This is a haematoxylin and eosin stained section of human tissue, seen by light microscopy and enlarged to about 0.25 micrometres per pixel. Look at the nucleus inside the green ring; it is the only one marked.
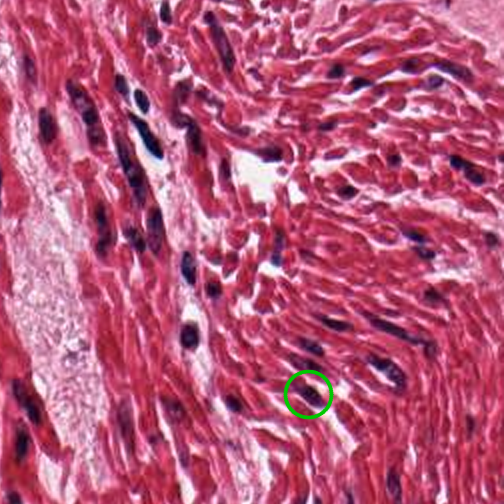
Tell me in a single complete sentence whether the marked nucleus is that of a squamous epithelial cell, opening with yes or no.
No, the nucleus highlighted in the image does not belong to a squamous epithelial cell.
